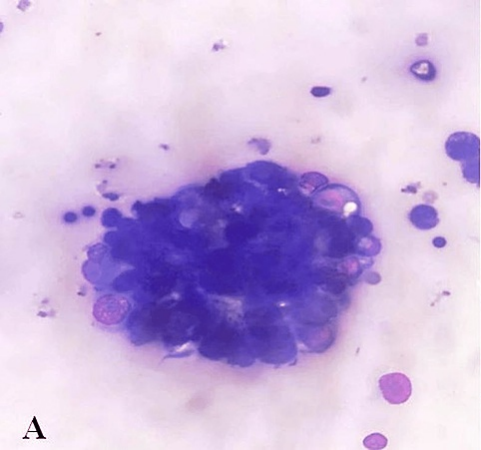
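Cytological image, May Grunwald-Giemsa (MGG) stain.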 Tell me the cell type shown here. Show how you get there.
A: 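A tight three-dimensional cluster of crowded cells lies in the centre of the smear. Nuclei in the cluster are dark and overlapping. Scattered single round cells lie around the cluster. That points to this answer: tumor cells.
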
